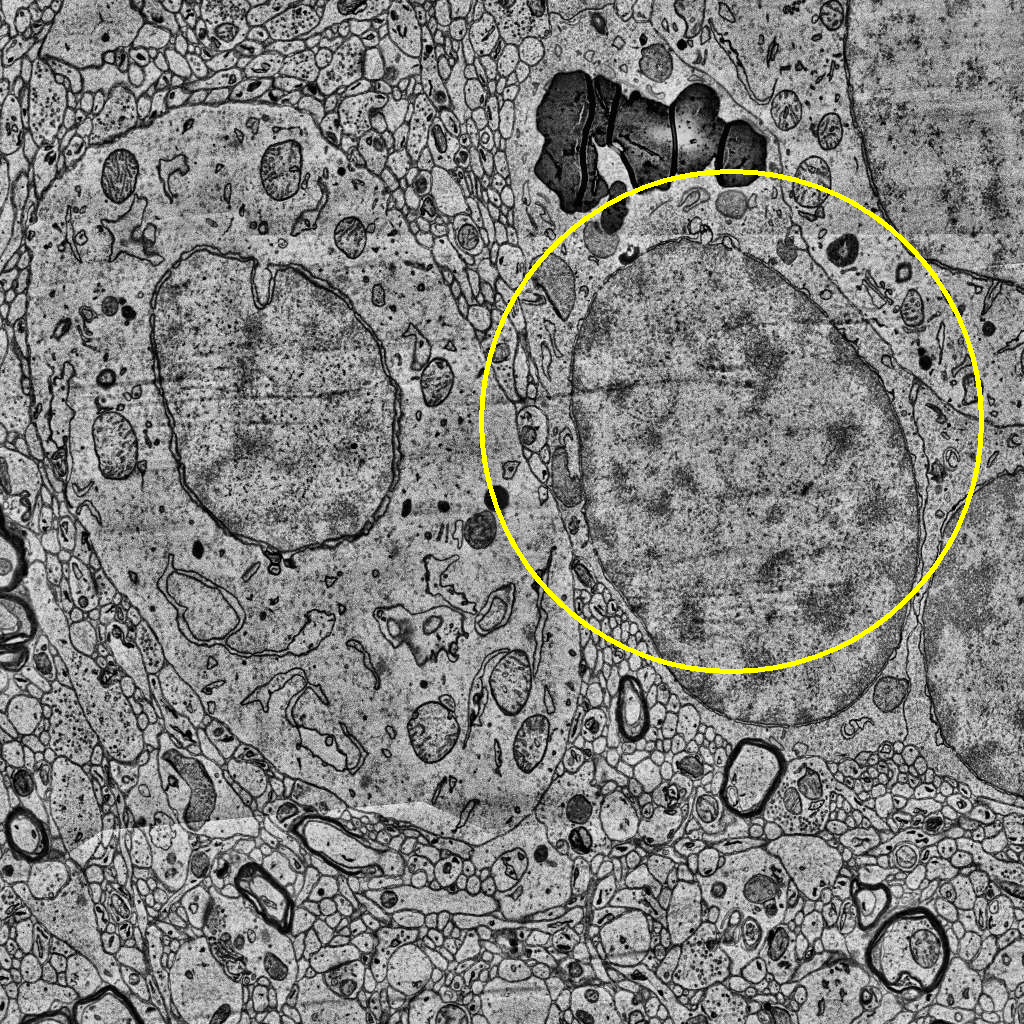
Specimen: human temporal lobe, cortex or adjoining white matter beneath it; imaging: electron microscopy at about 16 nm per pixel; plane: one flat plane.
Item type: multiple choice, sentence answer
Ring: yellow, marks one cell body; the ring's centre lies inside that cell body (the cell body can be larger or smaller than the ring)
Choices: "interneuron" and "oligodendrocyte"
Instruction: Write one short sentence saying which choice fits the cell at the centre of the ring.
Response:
The centre of this ring lies on an oligodendrocyte.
